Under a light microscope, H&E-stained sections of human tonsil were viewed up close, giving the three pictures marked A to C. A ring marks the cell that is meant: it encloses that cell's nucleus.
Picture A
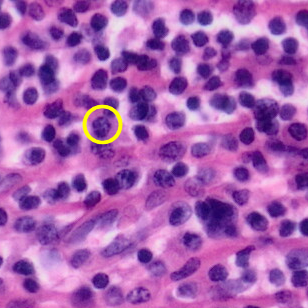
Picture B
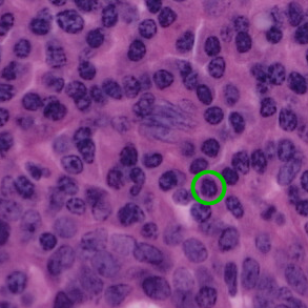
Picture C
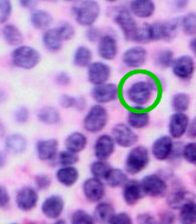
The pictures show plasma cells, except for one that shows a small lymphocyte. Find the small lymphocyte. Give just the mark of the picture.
C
